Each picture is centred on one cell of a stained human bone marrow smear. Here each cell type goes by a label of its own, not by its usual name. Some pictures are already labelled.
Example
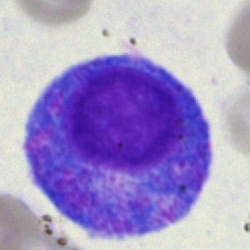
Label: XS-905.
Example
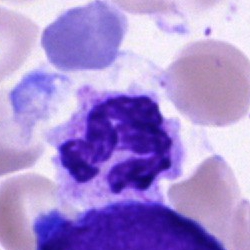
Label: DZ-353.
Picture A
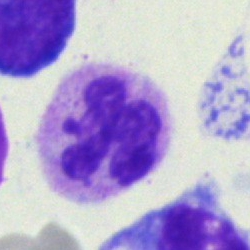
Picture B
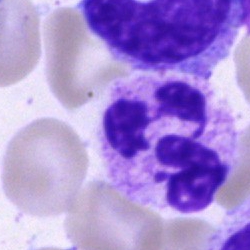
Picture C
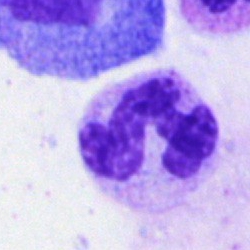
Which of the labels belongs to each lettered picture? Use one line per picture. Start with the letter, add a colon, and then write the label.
A: DZ-353.
B: DZ-353.
C: DZ-353.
